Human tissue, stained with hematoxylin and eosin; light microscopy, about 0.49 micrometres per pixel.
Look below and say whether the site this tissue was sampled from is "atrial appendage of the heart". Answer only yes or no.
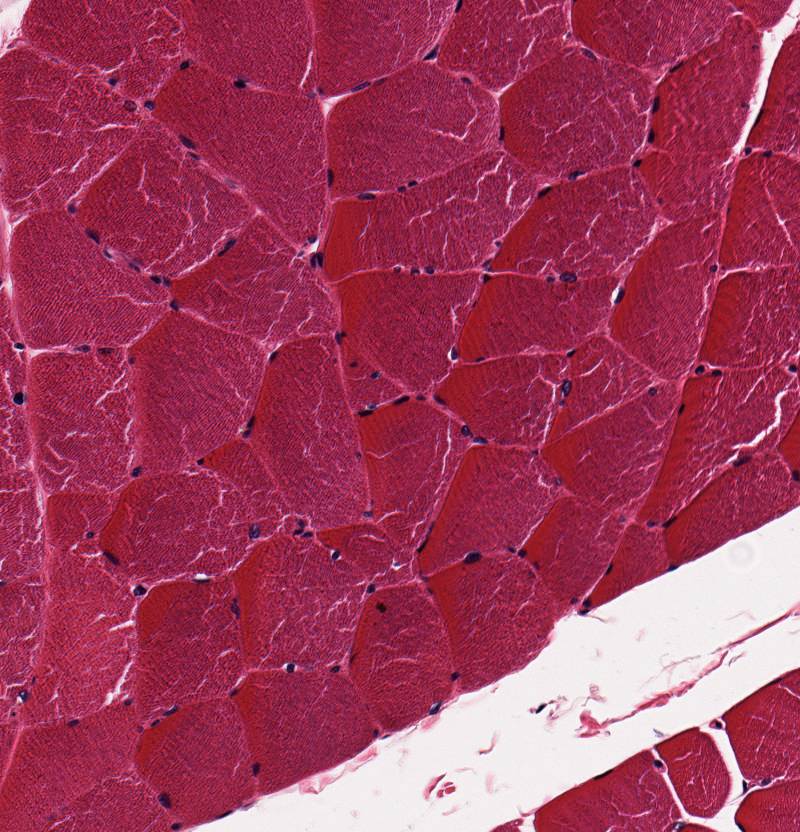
no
